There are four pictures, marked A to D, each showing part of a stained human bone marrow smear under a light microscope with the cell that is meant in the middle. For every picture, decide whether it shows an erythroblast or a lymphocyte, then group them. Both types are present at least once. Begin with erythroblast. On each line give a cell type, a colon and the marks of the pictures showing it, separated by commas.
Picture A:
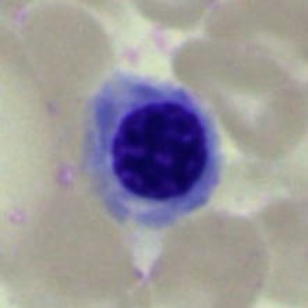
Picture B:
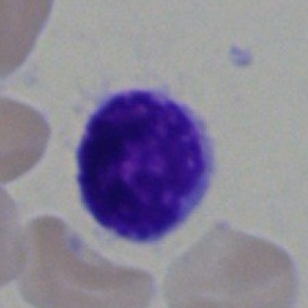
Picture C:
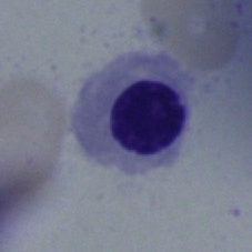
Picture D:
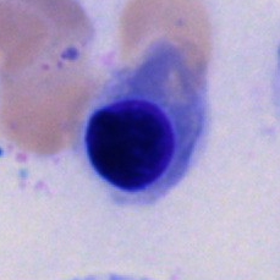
erythroblast: A, C, D
lymphocyte: B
